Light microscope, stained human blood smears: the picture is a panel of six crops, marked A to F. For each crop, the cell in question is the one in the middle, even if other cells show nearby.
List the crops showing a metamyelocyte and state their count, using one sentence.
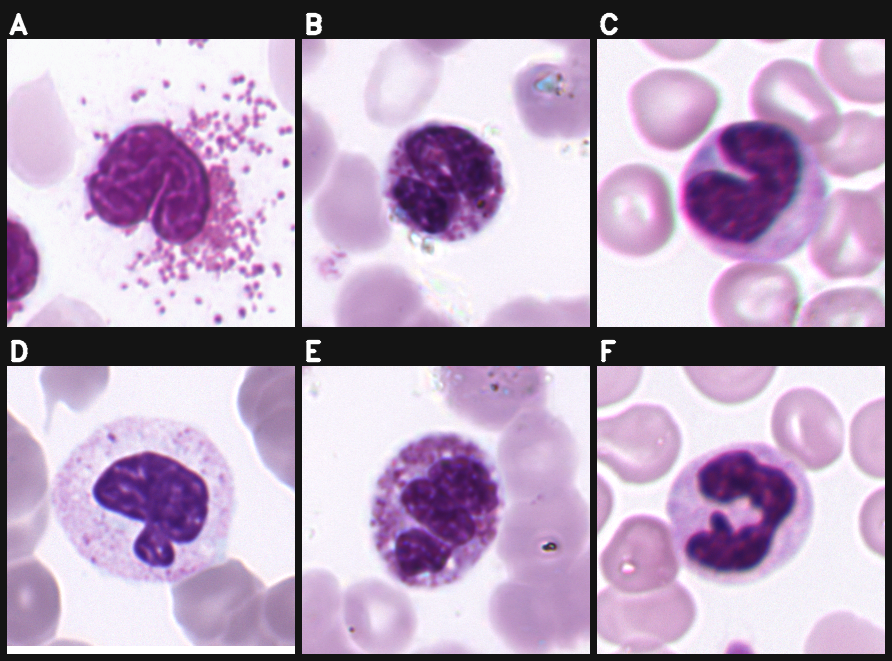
No metamyelocytes are shown by the crops, so their count is zero.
